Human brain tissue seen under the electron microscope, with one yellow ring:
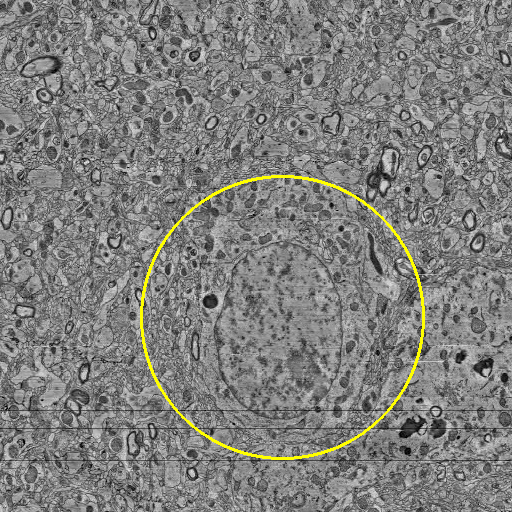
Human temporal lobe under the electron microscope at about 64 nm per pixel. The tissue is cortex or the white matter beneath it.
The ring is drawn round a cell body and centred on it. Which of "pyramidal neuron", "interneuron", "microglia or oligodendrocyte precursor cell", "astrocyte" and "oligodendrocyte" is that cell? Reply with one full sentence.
The picture shows an interneuron at the very centre of the yellow ring.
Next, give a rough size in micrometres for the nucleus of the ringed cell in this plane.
About 12 by 8 micrometers for the nucleus, in this plane.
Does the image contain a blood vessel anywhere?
No.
